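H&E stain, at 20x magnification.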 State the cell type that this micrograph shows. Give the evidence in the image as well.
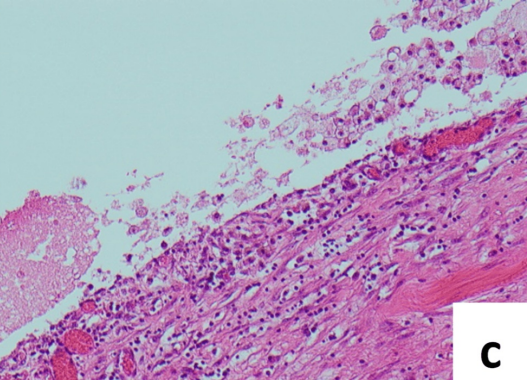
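Foamy macrophages. Large rounded cells with pale, finely vacuolated cytoplasm lie loose along the upper free surface. Each has a small, round nucleus set within abundant bubbly cytoplasm.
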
